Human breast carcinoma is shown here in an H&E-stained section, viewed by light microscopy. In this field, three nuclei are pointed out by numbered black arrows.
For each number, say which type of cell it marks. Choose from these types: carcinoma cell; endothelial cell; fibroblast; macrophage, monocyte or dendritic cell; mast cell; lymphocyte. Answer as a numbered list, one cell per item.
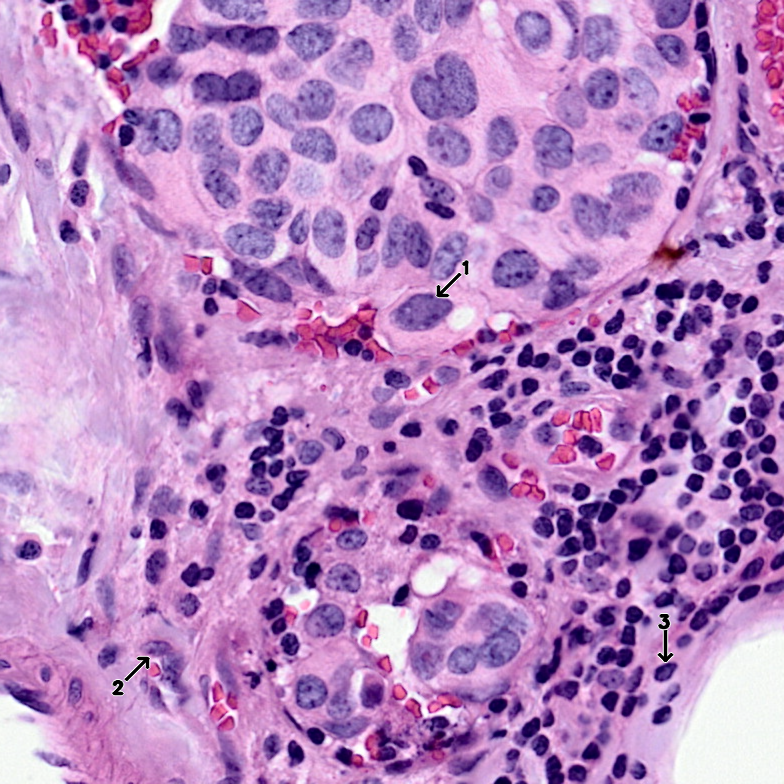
1. carcinoma cell
2. endothelial cell
3. lymphocyte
